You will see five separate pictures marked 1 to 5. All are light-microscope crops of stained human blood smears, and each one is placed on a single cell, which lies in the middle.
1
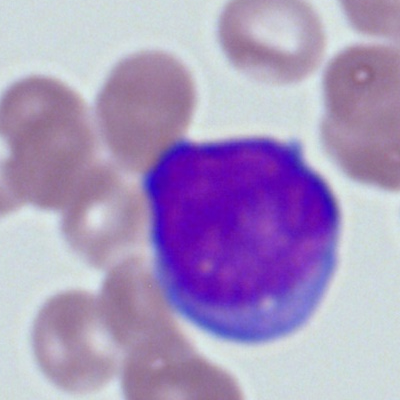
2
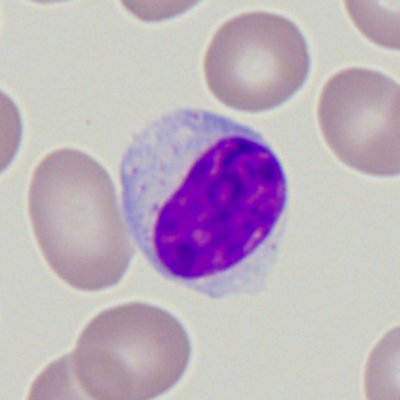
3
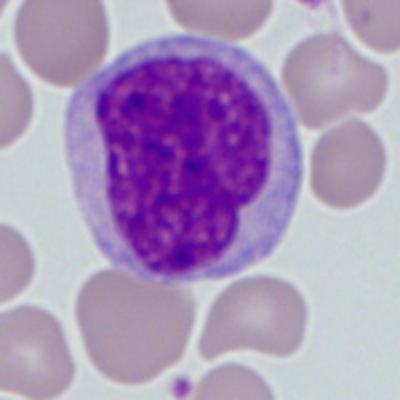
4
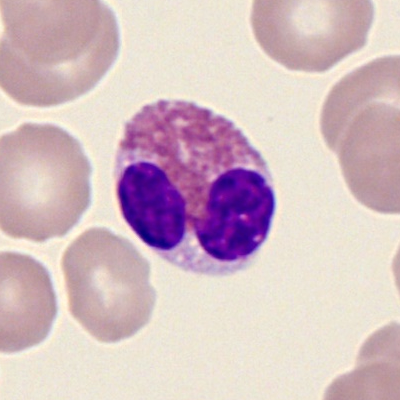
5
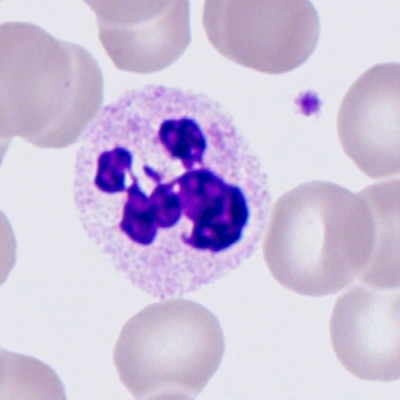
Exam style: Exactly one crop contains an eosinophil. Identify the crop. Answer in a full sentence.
It is crop 4 that shows an eosinophil.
